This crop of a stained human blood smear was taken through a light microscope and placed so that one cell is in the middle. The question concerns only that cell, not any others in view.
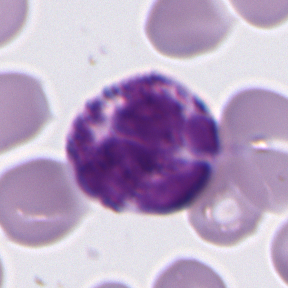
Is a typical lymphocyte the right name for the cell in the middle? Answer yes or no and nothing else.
no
